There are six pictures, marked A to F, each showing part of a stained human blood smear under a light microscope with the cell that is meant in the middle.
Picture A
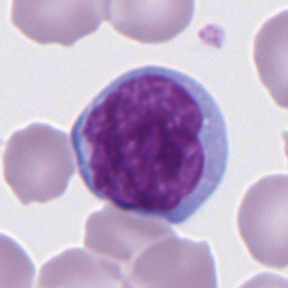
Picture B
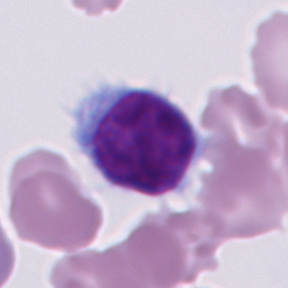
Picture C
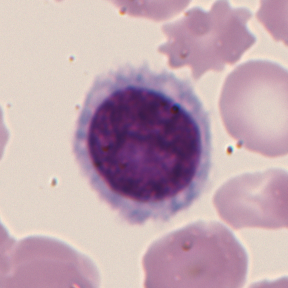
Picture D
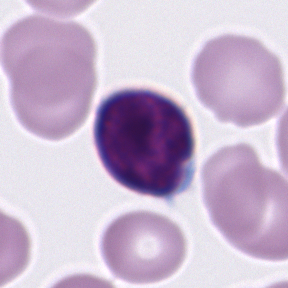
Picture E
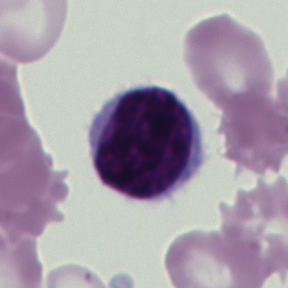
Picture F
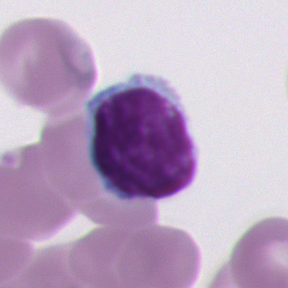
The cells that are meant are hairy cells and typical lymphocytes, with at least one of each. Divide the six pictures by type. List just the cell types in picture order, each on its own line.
typical lymphocyte
hairy cell
hairy cell
typical lymphocyte
hairy cell
typical lymphocyte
